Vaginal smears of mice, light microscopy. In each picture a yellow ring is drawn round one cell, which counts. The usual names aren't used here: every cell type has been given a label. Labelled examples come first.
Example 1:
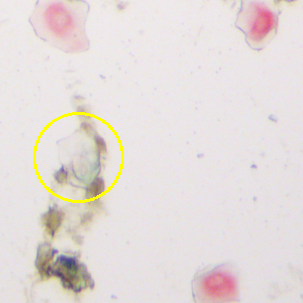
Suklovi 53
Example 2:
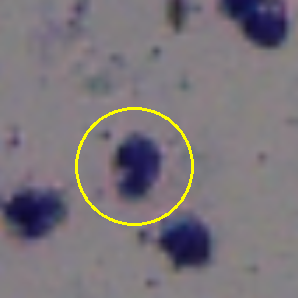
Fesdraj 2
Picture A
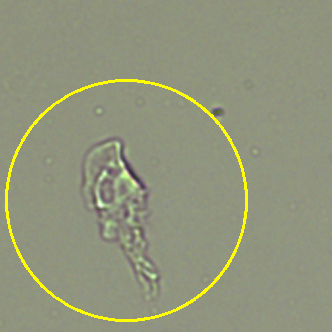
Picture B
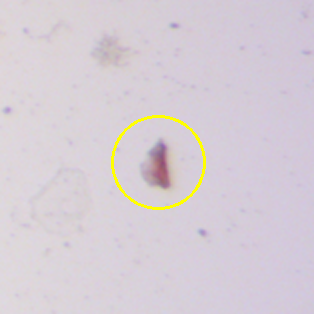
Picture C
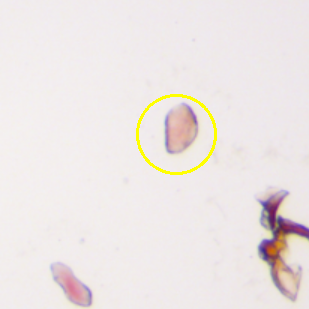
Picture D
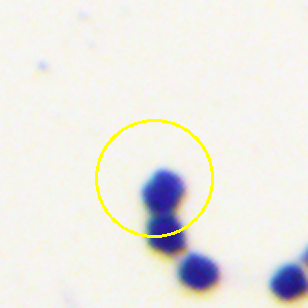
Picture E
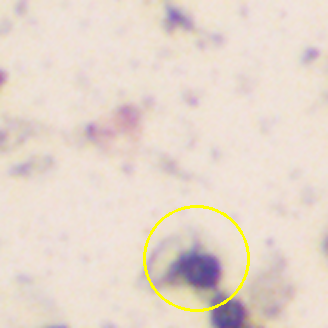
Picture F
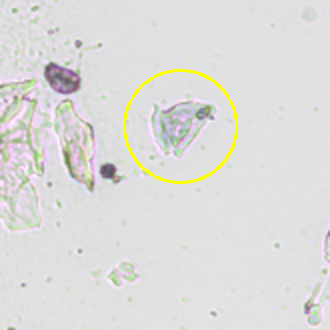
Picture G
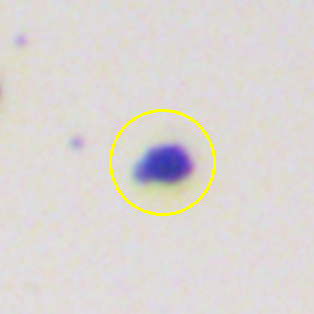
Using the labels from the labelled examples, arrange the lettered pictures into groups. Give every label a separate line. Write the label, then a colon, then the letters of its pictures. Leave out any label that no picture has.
Suklovi 53: A, B, C, F
Fesdraj 2: D, E, G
